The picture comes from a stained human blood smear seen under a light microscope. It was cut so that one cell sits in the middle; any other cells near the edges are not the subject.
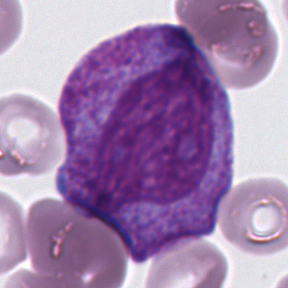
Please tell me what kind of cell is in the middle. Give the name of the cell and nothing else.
atypical promyelocyte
